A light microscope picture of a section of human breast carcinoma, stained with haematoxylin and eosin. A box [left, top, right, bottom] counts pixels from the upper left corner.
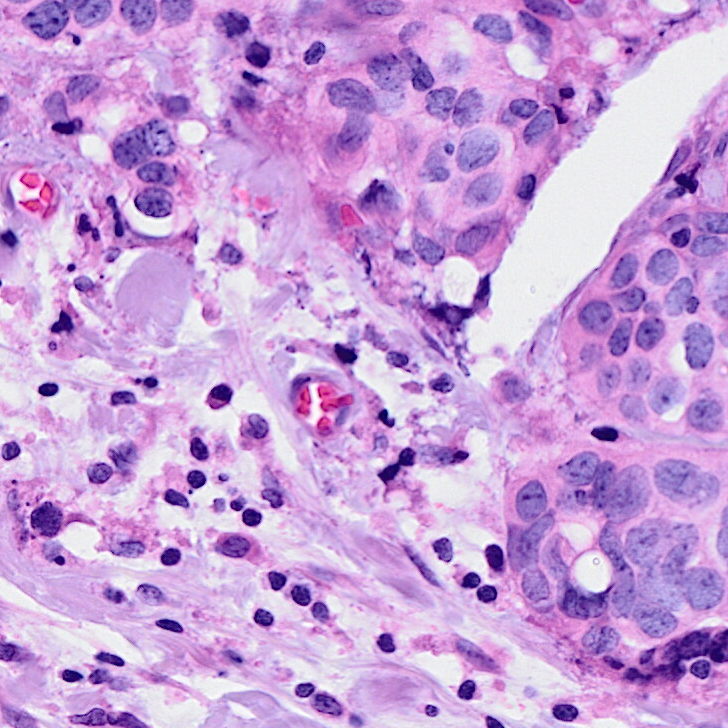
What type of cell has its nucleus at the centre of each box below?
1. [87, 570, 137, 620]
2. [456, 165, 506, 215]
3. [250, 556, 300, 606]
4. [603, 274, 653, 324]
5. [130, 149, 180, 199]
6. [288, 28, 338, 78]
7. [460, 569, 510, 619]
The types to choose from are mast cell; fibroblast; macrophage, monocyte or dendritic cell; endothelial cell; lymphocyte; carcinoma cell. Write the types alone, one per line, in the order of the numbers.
lymphocyte
carcinoma cell
lymphocyte
carcinoma cell
carcinoma cell
lymphocyte
lymphocyte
